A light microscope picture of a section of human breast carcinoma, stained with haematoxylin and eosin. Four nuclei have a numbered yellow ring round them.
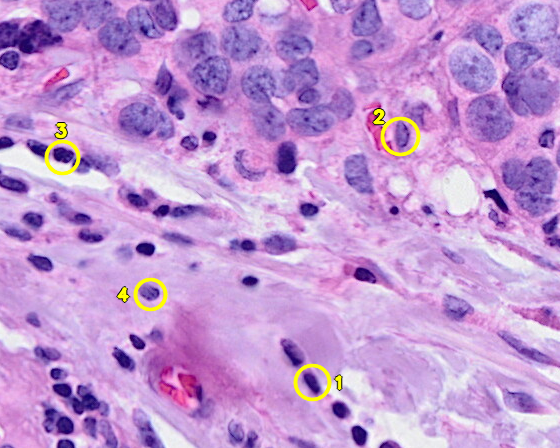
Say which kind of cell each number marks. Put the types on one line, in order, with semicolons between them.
lymphocyte; endothelial cell; lymphocyte; lymphocyte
